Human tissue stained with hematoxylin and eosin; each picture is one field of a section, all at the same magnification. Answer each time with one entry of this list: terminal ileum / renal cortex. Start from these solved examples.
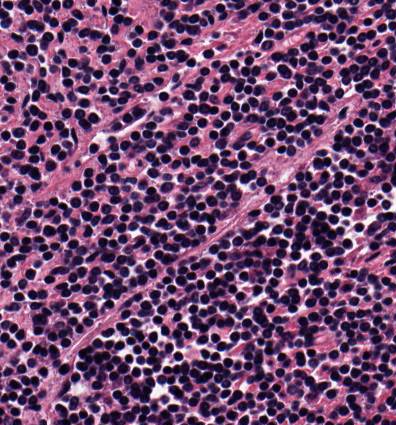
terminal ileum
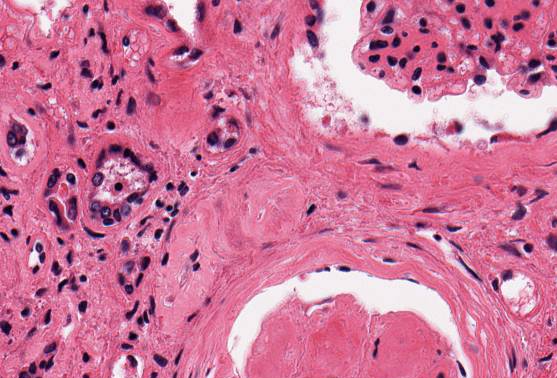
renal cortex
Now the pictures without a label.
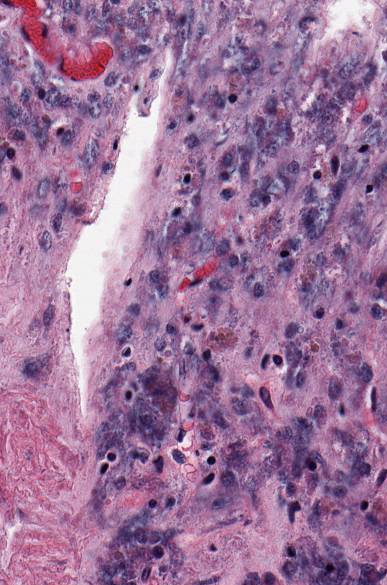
terminal ileum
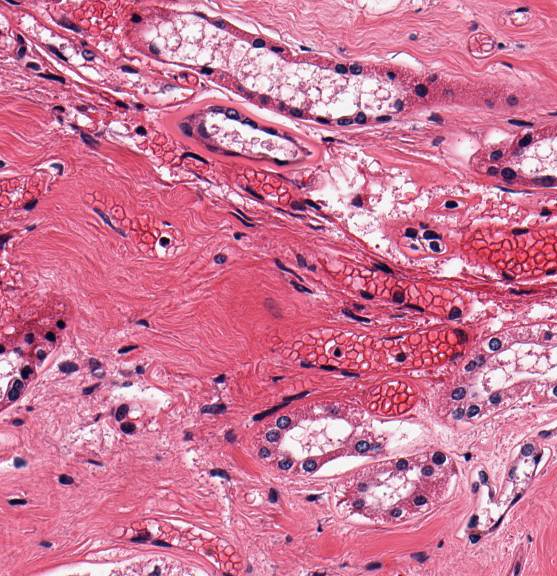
renal cortex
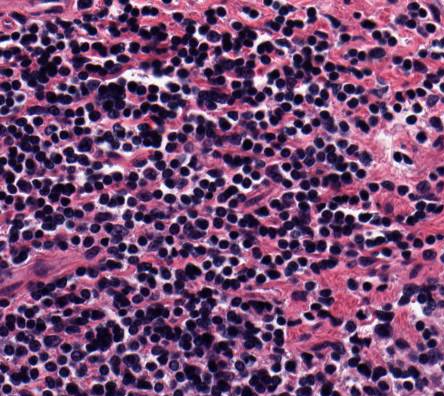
terminal ileum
